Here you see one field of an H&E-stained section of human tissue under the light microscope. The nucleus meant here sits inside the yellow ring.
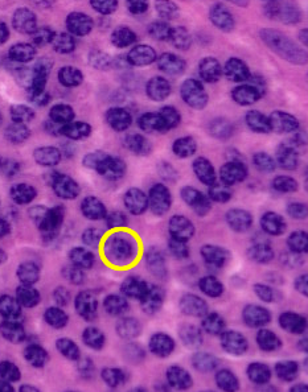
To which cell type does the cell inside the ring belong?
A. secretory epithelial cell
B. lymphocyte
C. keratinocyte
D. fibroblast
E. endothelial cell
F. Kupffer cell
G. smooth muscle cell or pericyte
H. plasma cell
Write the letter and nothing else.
H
